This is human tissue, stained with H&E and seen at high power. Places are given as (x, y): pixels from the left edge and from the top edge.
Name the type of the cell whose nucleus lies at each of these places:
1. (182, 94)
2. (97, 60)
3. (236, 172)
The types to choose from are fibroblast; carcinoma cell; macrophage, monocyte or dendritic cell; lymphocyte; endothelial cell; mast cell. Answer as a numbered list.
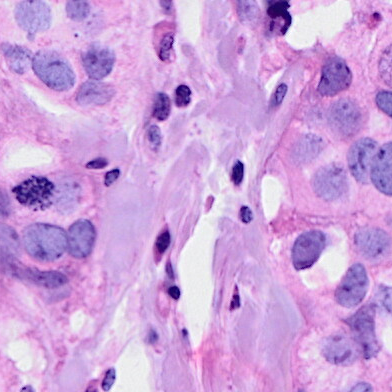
1. lymphocyte
2. carcinoma cell
3. lymphocyte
